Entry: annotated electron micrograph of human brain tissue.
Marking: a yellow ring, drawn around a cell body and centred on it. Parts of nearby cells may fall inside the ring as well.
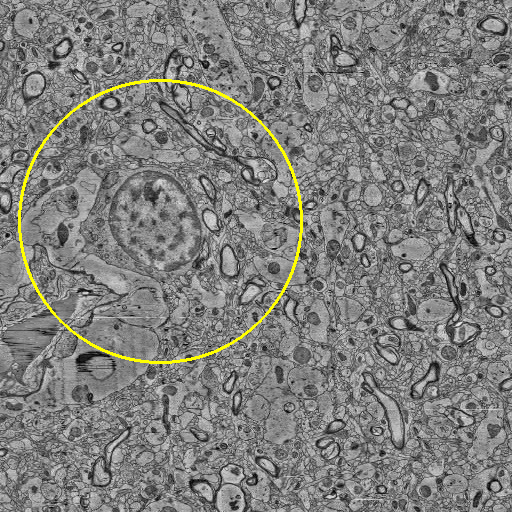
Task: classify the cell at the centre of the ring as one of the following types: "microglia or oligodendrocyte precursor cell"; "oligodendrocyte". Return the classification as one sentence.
The marked cell is classified as an oligodendrocyte.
